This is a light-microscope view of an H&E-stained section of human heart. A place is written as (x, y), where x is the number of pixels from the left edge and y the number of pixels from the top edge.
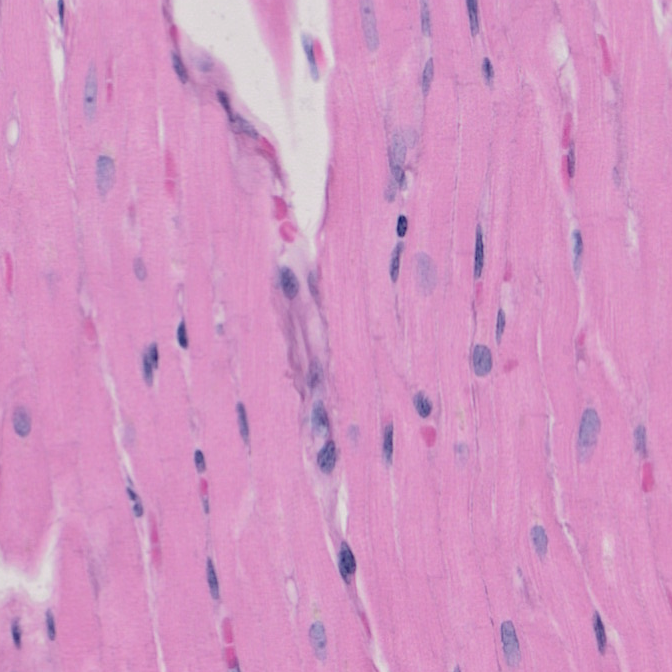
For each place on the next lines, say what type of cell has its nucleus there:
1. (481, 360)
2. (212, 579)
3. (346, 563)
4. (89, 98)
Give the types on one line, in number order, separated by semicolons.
cardiomyocyte; endothelial cell; endothelial cell; cardiomyocyte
